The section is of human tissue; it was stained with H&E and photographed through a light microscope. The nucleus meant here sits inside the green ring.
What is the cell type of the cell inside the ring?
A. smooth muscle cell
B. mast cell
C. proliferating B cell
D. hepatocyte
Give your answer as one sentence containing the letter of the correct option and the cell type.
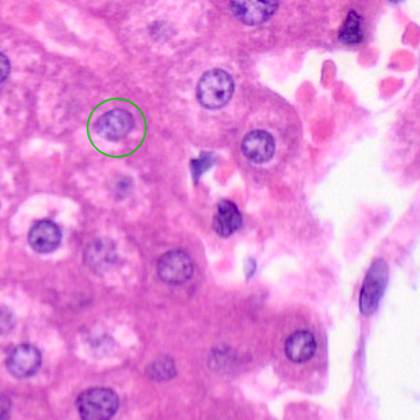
Here the cell inside the ring is a hepatocyte; pick option D.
